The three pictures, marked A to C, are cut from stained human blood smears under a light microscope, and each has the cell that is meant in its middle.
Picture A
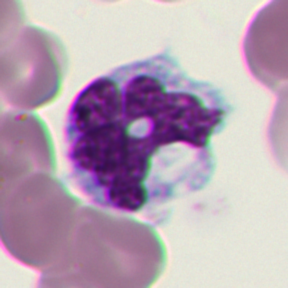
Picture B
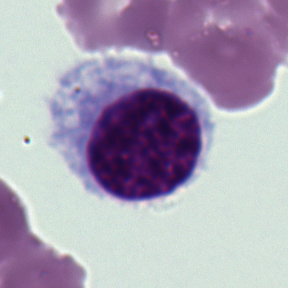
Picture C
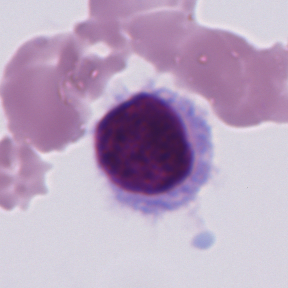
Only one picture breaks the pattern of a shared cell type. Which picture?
A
